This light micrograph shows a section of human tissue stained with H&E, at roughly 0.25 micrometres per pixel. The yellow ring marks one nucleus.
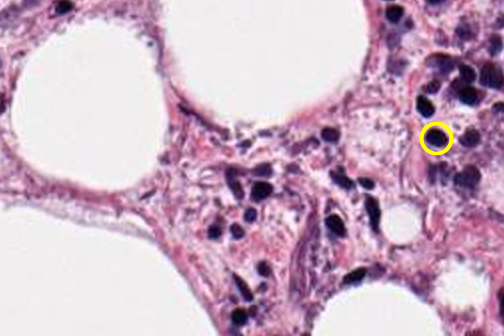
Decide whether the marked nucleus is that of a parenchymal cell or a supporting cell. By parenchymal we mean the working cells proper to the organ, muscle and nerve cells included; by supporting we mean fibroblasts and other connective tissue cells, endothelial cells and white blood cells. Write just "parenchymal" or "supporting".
supporting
